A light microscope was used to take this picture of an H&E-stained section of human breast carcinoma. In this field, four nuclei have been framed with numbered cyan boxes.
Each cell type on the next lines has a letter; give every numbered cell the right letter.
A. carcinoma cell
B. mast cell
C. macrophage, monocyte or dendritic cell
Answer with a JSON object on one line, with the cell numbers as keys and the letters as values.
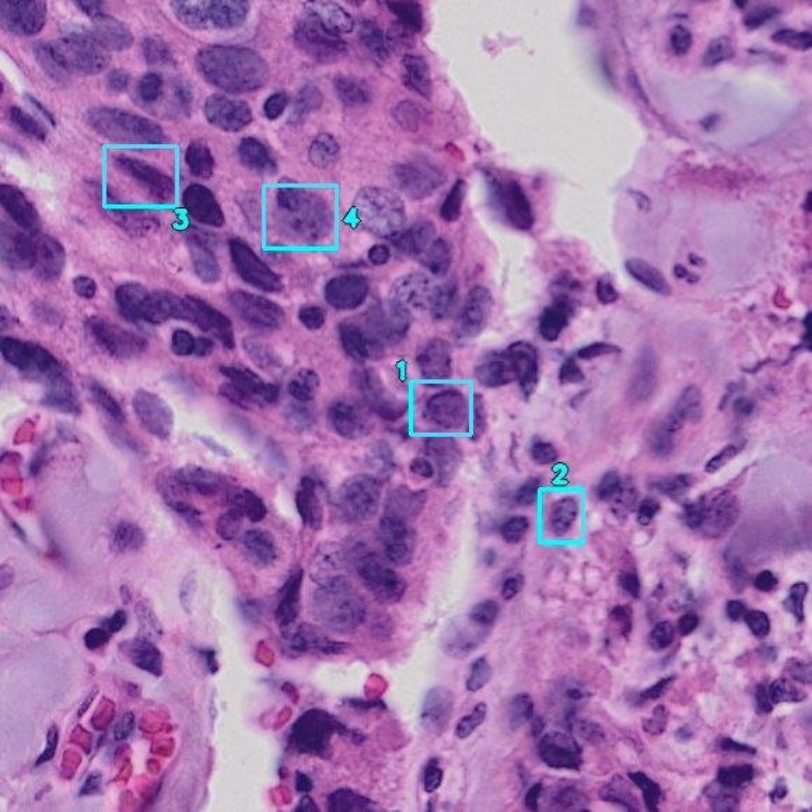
{"1": "A", "2": "B", "3": "A", "4": "A"}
